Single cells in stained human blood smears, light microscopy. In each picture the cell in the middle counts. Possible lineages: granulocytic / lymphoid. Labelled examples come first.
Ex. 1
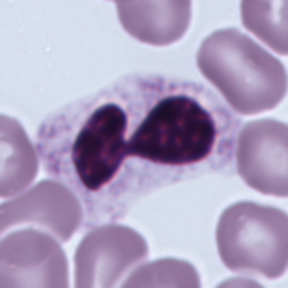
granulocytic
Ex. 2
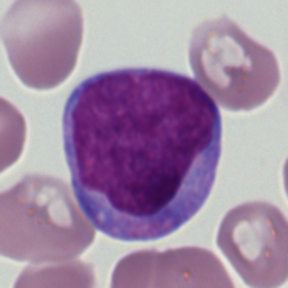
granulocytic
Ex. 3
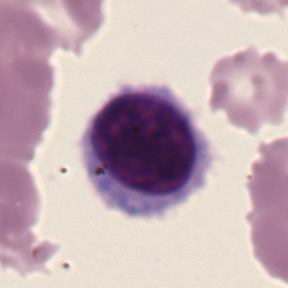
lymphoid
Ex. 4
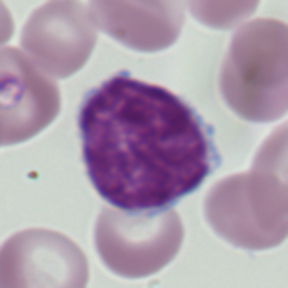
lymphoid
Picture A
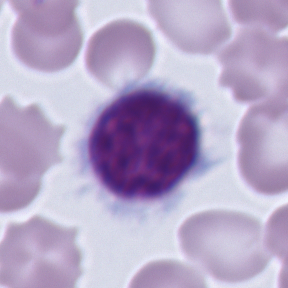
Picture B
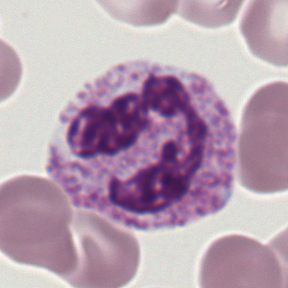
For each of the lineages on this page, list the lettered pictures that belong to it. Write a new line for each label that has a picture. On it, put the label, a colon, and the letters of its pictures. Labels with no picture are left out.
granulocytic: B
lymphoid: A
